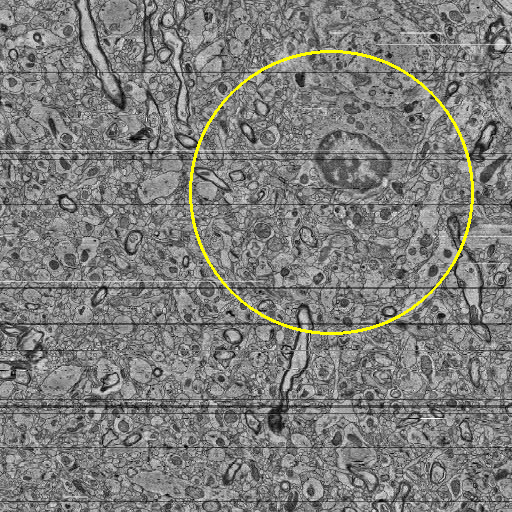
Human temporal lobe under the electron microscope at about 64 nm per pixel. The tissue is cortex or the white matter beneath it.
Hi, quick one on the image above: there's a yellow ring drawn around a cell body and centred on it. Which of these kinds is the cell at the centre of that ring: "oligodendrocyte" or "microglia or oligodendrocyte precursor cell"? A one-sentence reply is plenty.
The cell at the centre of the ring is an oligodendrocyte.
